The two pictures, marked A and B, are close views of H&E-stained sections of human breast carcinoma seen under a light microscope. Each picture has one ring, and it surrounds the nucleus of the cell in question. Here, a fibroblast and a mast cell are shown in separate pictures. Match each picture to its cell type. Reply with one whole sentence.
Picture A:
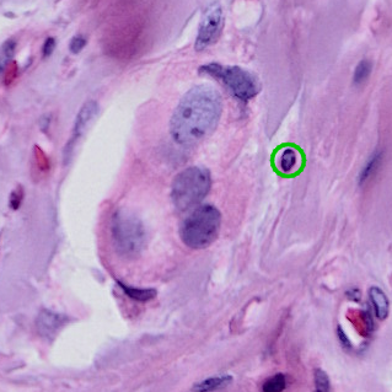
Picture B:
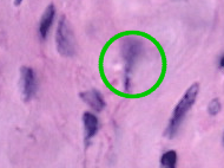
The cell in picture A is a mast cell, and the one in picture B is a fibroblast.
